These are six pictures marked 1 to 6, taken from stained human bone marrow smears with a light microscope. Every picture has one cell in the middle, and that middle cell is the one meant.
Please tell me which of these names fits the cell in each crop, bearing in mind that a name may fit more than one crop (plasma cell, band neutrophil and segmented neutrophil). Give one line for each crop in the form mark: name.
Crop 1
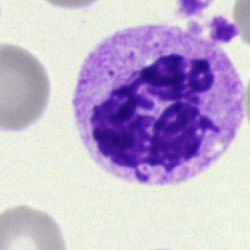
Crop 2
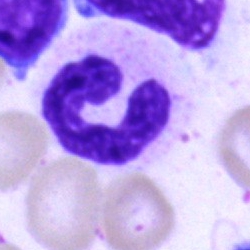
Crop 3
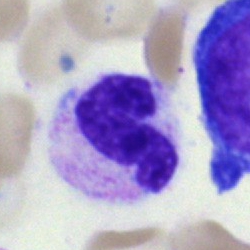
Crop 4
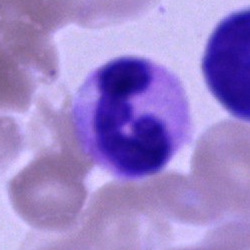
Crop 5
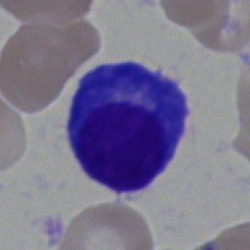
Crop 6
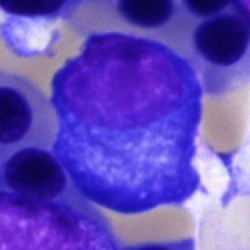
1: segmented neutrophil
2: band neutrophil
3: band neutrophil
4: segmented neutrophil
5: plasma cell
6: plasma cell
